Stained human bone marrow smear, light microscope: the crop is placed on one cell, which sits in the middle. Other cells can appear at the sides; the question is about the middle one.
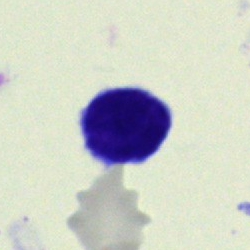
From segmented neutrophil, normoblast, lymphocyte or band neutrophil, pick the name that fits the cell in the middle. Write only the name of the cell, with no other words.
lymphocyte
